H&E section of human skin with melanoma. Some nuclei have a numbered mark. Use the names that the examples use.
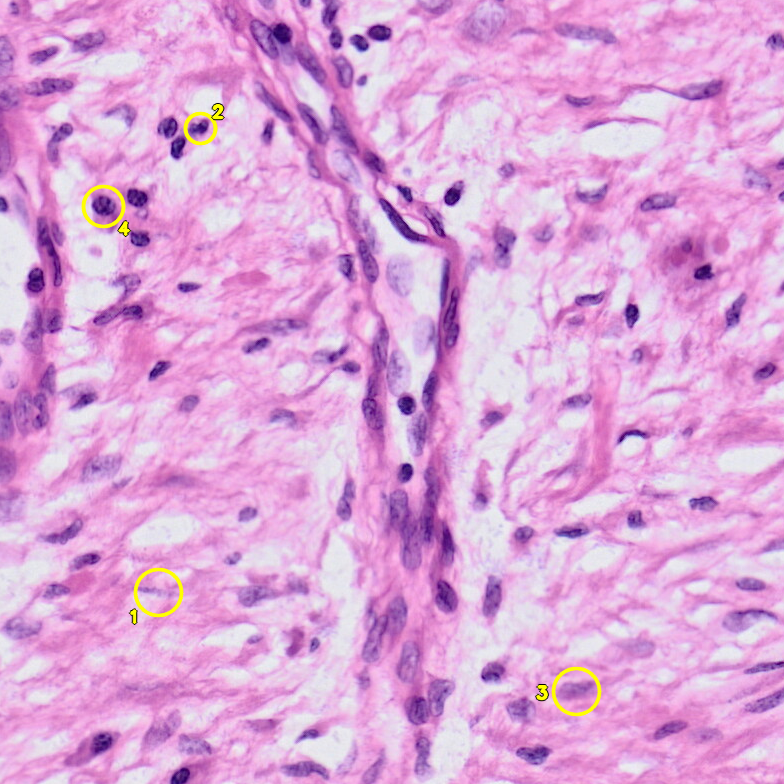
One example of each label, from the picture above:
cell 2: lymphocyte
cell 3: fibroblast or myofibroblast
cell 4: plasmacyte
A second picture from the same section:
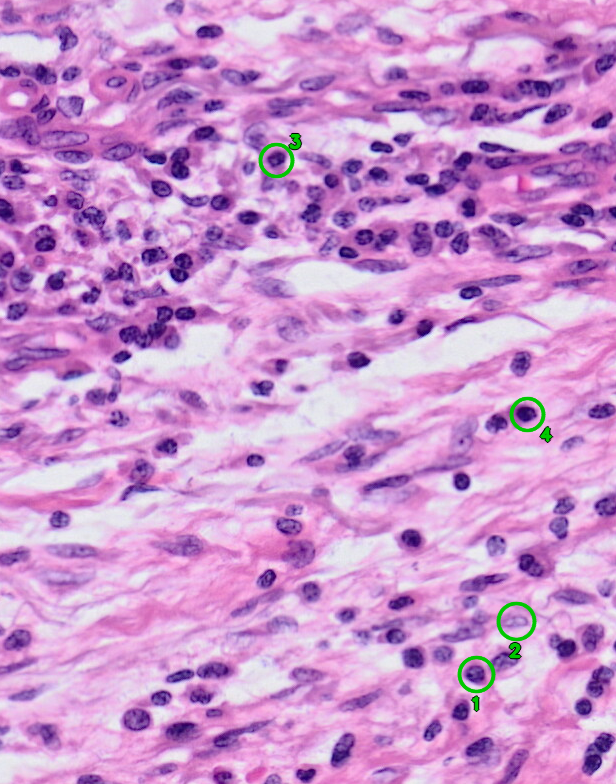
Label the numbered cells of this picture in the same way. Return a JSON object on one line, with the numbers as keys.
{"1": "plasmacyte", "2": "fibroblast or myofibroblast", "3": "plasmacyte", "4": "plasmacyte"}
